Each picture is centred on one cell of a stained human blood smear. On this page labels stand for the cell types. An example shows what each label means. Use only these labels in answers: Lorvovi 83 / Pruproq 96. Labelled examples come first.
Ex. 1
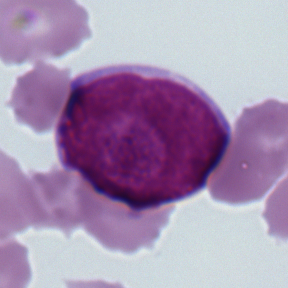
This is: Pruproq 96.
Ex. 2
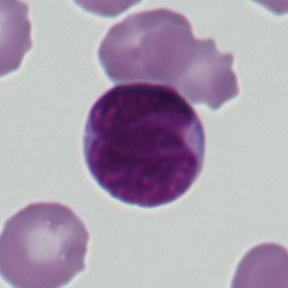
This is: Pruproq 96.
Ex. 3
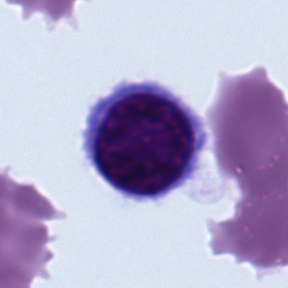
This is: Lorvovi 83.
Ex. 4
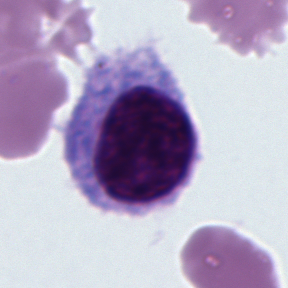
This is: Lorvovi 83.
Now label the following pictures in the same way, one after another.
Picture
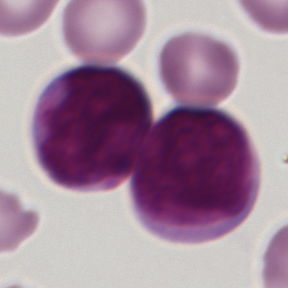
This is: Pruproq 96.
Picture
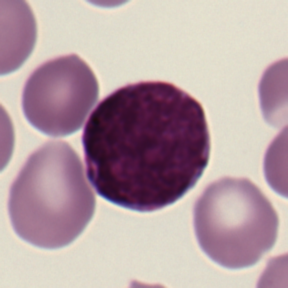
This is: Pruproq 96.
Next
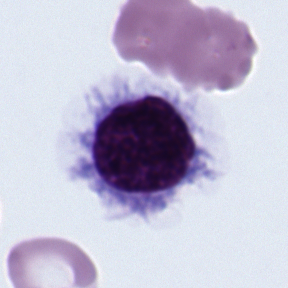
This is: Lorvovi 83.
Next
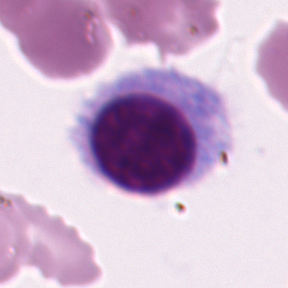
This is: Lorvovi 83.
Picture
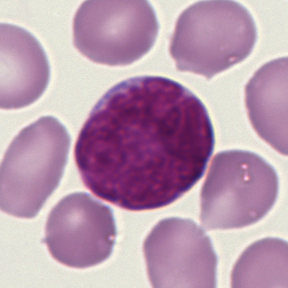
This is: Pruproq 96.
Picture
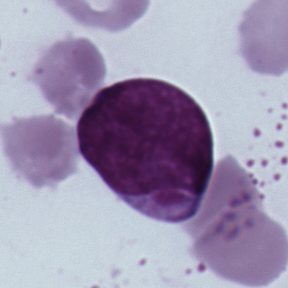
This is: Pruproq 96.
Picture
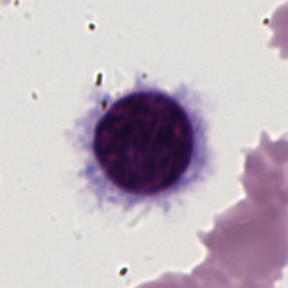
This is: Lorvovi 83.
